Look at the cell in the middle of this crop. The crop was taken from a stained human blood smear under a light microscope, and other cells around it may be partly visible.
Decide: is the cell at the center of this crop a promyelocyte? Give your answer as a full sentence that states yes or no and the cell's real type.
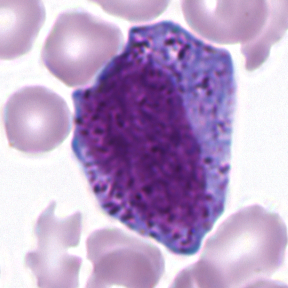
Yes, the central cell here is a promyelocyte.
